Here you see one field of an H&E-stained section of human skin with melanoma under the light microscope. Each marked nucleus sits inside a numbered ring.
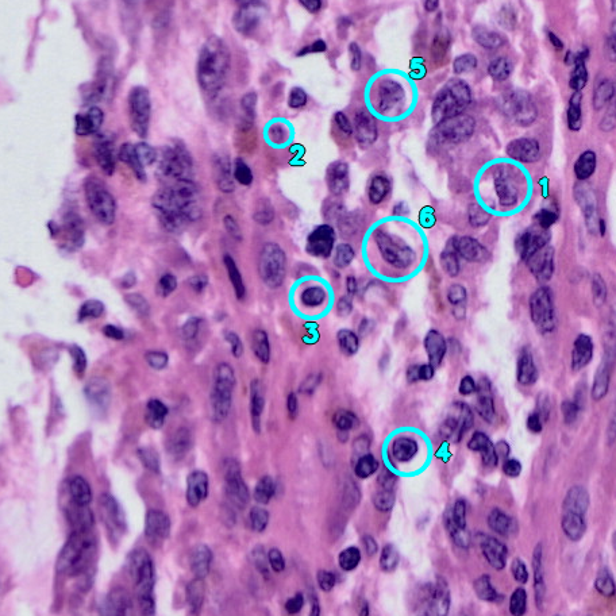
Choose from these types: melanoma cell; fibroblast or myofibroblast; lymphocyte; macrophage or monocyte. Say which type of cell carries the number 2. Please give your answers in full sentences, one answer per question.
The identity of cell 2 is that of a macrophage or monocyte.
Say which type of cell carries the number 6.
The cell indicated by marker 6 is a macrophage or monocyte in this section.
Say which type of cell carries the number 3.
The cell indicated by marker 3 is a lymphocyte in this section.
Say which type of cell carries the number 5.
Among the marked cells, number 5 is a melanoma cell.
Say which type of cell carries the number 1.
The identity of cell 1 is that of a melanoma cell.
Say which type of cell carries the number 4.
Cell 4, among those numbered, is a lymphocyte.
